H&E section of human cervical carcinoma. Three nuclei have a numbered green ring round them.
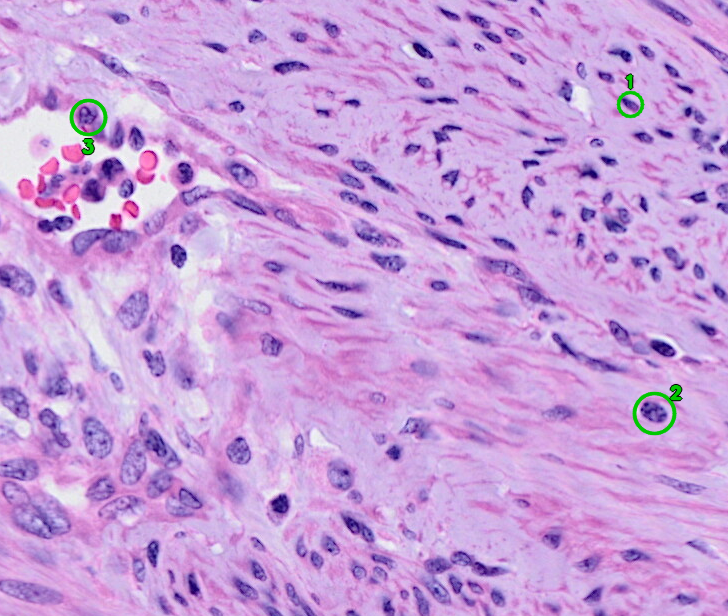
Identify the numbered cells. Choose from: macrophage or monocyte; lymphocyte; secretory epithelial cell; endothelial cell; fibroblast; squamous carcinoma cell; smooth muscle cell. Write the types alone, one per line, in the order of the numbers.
smooth muscle cell
lymphocyte
endothelial cell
